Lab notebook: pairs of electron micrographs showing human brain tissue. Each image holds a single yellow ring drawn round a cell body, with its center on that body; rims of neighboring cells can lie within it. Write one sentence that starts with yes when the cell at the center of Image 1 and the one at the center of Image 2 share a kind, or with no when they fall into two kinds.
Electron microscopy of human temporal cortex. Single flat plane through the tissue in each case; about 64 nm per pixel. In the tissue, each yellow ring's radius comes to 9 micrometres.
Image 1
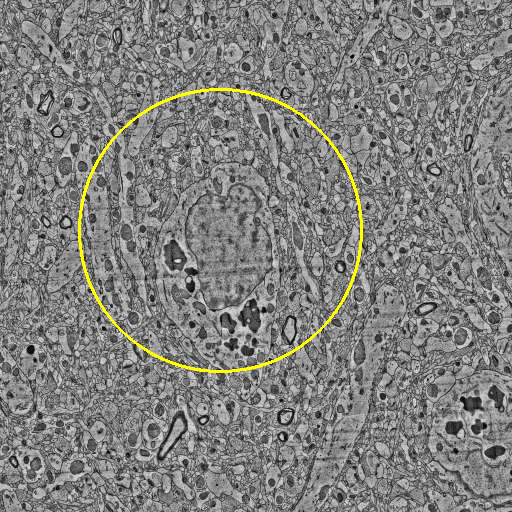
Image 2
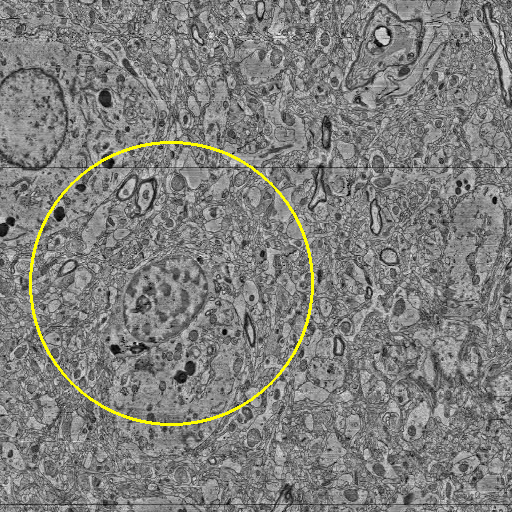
No, the centered cell in Image 1 and the centered cell in Image 2 are of two kinds.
